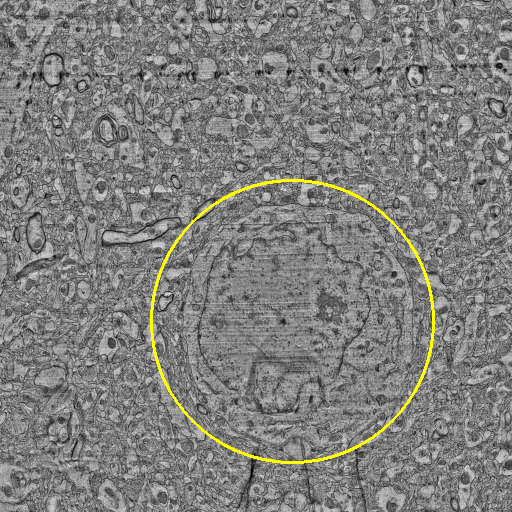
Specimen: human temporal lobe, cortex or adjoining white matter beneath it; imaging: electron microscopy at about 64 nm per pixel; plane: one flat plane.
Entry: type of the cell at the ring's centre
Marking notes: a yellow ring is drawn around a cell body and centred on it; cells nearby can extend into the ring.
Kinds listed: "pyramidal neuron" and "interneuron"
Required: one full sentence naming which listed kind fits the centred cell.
My entry names an interneuron as the cell whose body the yellow ring centres on.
